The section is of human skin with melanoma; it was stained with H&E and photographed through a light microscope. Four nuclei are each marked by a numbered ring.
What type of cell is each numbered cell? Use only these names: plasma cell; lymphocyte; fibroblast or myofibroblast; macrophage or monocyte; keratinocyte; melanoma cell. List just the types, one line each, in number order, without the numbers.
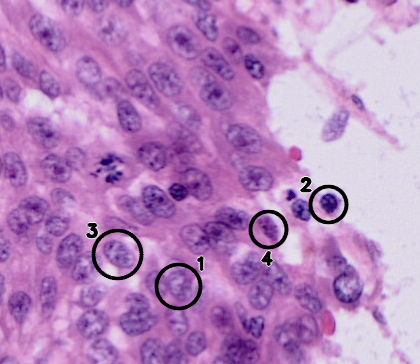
melanoma cell
lymphocyte
melanoma cell
melanoma cell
